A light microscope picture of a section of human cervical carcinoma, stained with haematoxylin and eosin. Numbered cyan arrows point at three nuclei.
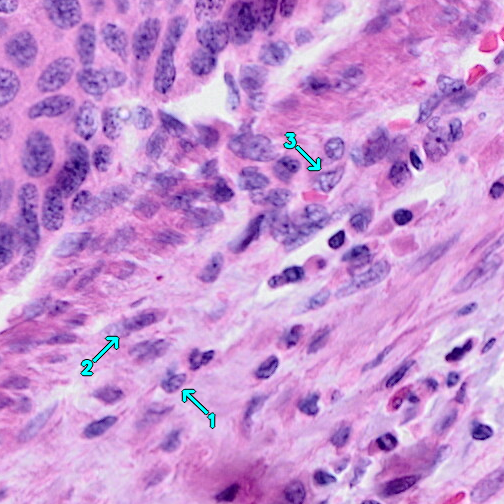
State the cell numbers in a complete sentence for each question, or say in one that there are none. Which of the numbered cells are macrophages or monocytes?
Among the cells marked with numbers, the only one that is a macrophage or monocyte is number 1.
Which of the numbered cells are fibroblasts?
Among the numbered cells, the one that is a fibroblast is cell 2 alone.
